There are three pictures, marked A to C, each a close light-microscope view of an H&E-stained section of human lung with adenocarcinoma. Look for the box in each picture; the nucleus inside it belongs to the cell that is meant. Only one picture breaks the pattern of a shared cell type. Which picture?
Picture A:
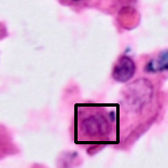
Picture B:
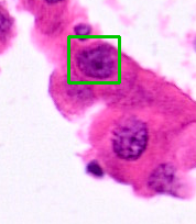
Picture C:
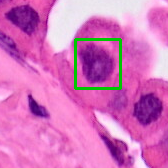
A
